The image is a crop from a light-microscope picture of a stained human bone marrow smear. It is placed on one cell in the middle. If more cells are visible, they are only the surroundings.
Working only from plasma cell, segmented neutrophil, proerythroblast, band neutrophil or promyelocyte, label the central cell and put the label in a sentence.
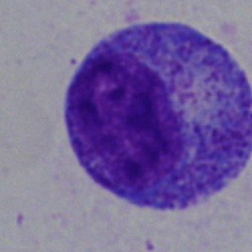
The cell marked by its central position in the crop is a promyelocyte.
